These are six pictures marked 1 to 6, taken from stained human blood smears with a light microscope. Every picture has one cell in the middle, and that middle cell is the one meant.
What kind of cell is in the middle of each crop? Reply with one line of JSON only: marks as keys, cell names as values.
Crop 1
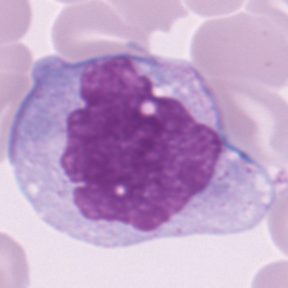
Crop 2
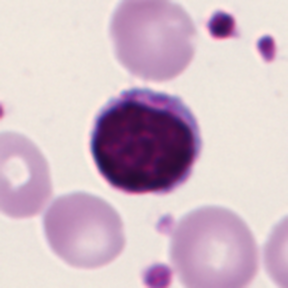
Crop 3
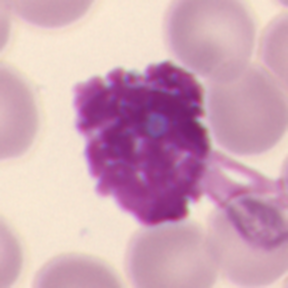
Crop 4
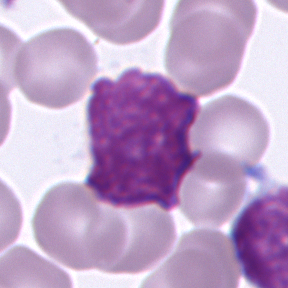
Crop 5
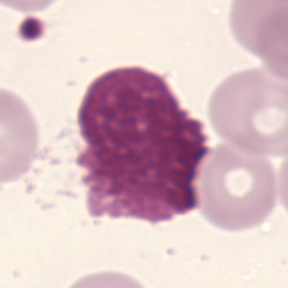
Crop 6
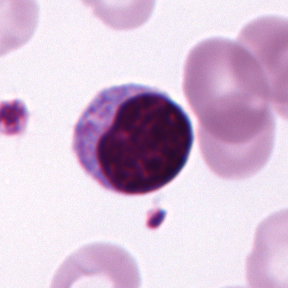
{"1": "monocyte", "2": "large granular lymphocyte", "3": "smudge cell", "4": "smudge cell", "5": "smudge cell", "6": "large granular lymphocyte"}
